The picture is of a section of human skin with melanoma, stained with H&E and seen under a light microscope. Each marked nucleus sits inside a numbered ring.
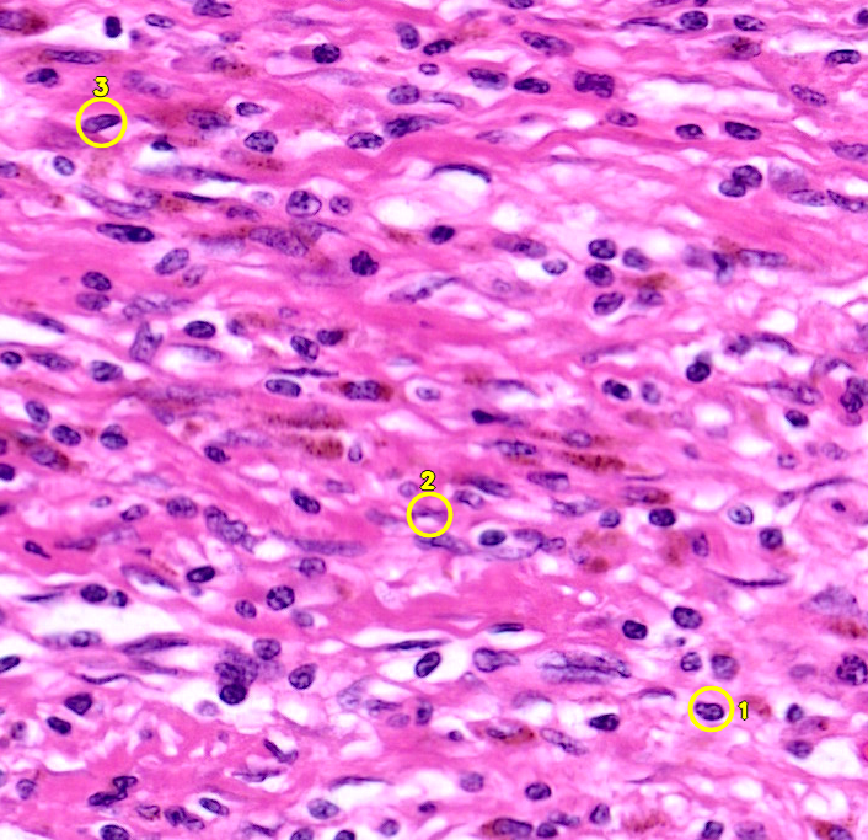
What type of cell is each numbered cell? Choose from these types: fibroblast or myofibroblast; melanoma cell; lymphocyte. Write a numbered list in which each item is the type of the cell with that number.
1. lymphocyte
2. fibroblast or myofibroblast
3. lymphocyte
